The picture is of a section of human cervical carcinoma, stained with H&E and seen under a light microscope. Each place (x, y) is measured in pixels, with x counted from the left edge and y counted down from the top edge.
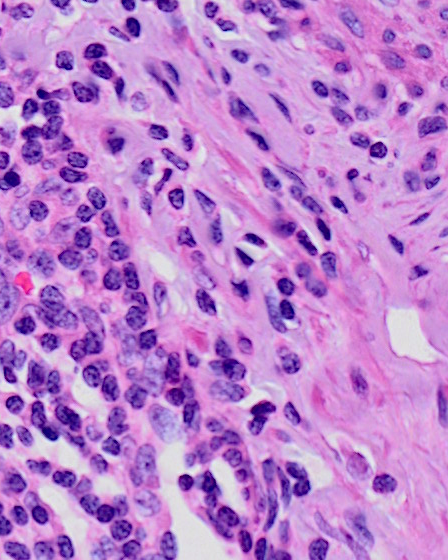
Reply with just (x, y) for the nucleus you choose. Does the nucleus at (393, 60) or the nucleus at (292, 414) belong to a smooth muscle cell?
(393, 60)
